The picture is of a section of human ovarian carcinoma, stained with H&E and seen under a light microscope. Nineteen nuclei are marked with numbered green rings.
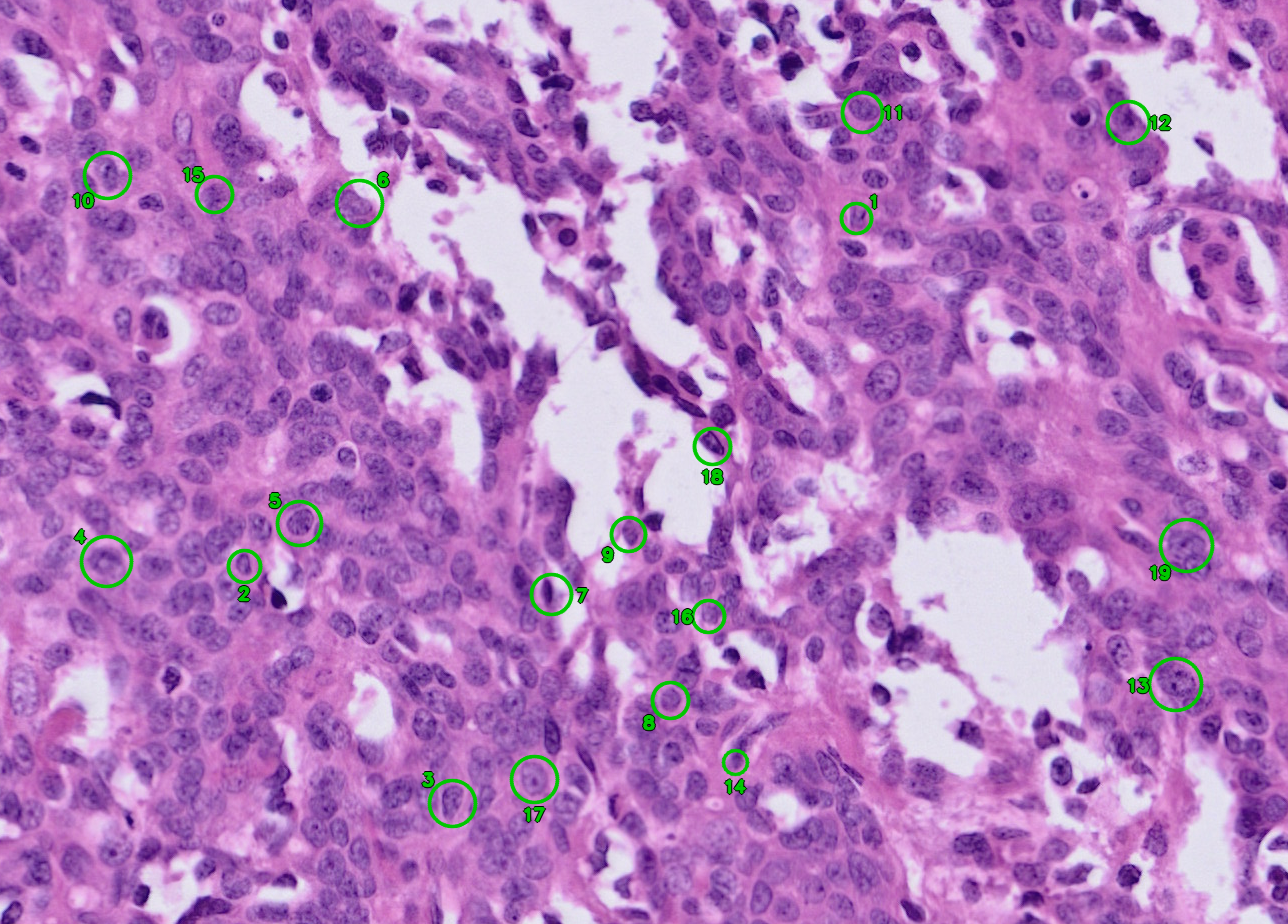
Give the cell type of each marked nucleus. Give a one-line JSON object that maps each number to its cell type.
{"1": "endothelial cell", "2": "macrophage or monocyte", "3": "macrophage or monocyte", "4": "carcinoma cell", "5": "macrophage or monocyte", "6": "carcinoma cell", "7": "carcinoma cell", "8": "macrophage or monocyte", "9": "macrophage or monocyte", "10": "macrophage or monocyte", "11": "carcinoma cell", "12": "carcinoma cell", "13": "carcinoma cell", "14": "endothelial cell", "15": "carcinoma cell", "16": "macrophage or monocyte", "17": "carcinoma cell", "18": "macrophage or monocyte", "19": "carcinoma cell"}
